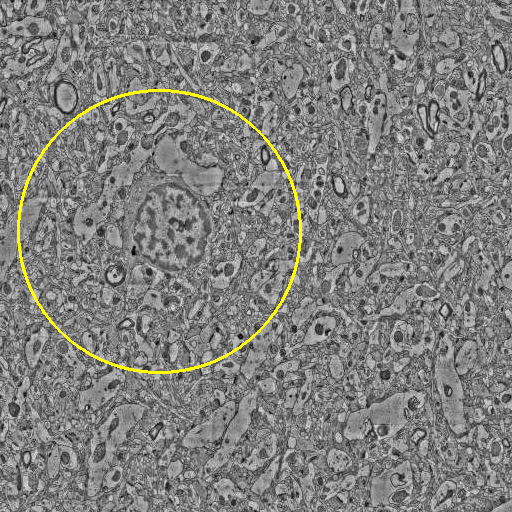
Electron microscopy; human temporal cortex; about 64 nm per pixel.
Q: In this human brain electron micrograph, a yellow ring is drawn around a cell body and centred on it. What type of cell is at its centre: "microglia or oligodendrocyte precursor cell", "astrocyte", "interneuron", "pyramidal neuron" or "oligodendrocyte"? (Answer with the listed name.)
oligodendrocyte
